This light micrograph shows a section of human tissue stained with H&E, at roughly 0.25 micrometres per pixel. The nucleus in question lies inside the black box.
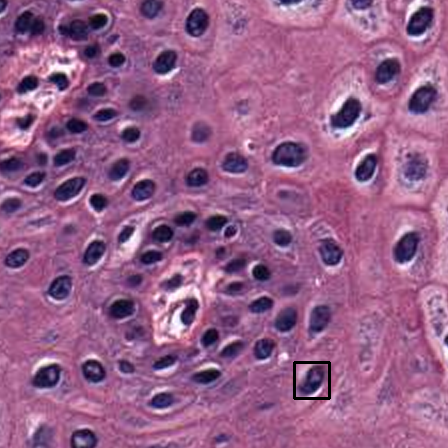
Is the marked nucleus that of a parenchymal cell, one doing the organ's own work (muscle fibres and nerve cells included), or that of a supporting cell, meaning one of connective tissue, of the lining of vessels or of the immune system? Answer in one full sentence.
The marked nucleus is owned by a parenchymal cell, in this case a squamous epithelial cell.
